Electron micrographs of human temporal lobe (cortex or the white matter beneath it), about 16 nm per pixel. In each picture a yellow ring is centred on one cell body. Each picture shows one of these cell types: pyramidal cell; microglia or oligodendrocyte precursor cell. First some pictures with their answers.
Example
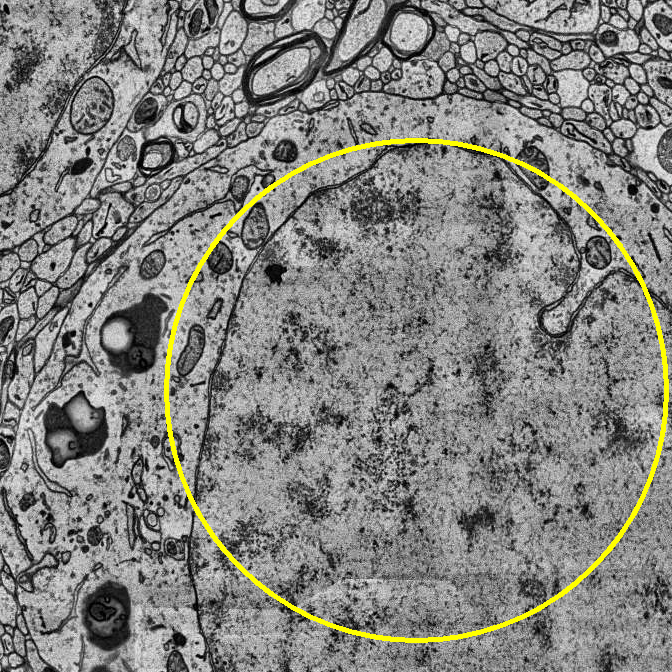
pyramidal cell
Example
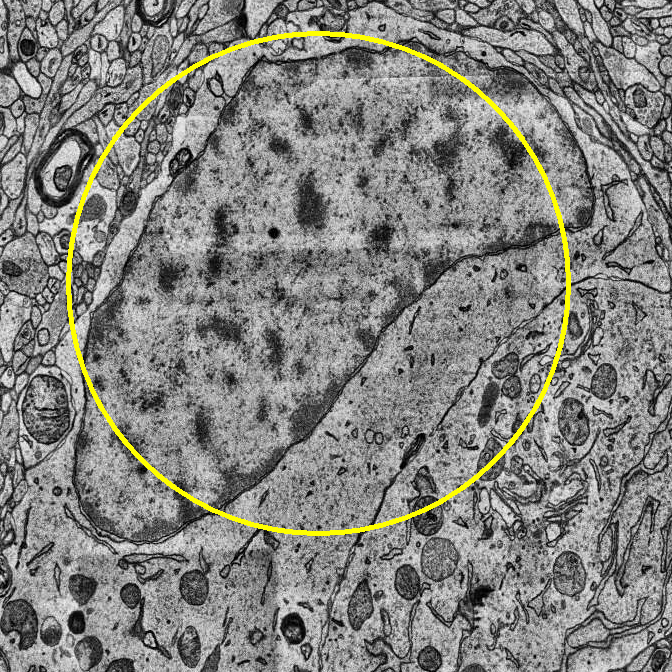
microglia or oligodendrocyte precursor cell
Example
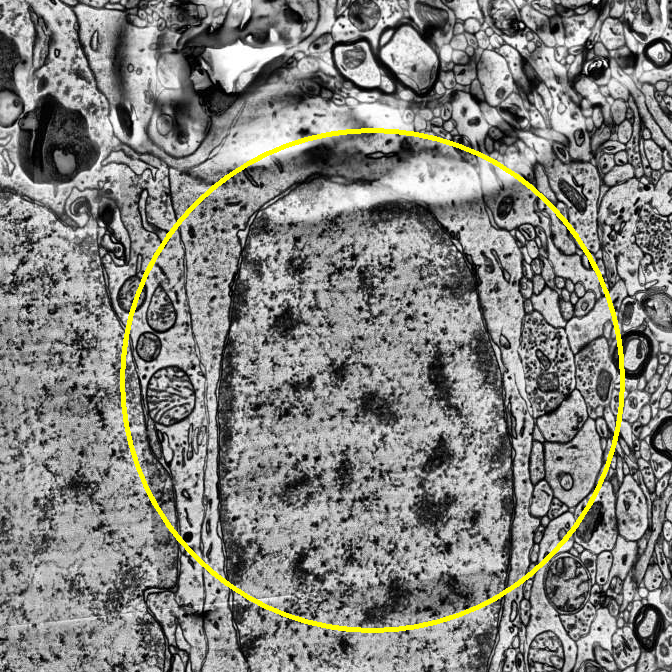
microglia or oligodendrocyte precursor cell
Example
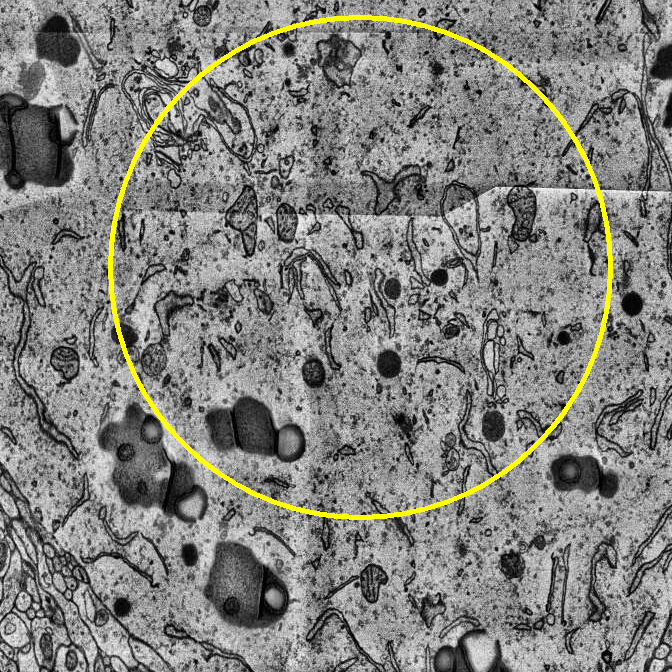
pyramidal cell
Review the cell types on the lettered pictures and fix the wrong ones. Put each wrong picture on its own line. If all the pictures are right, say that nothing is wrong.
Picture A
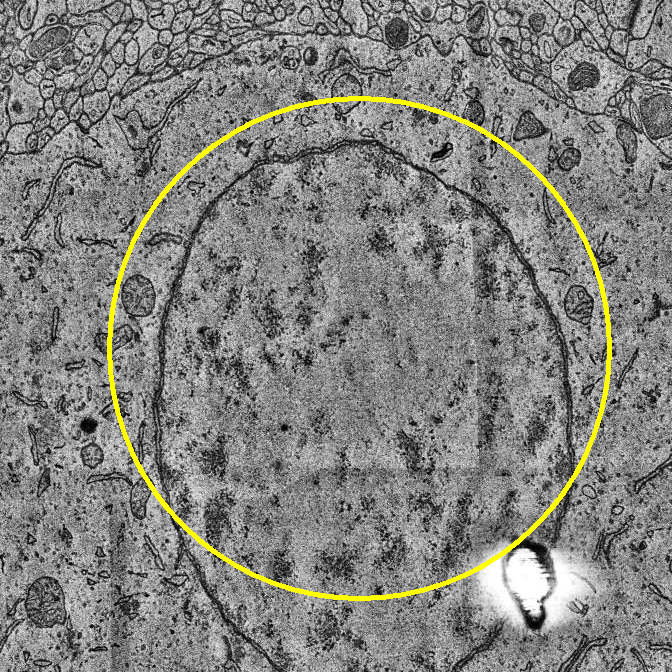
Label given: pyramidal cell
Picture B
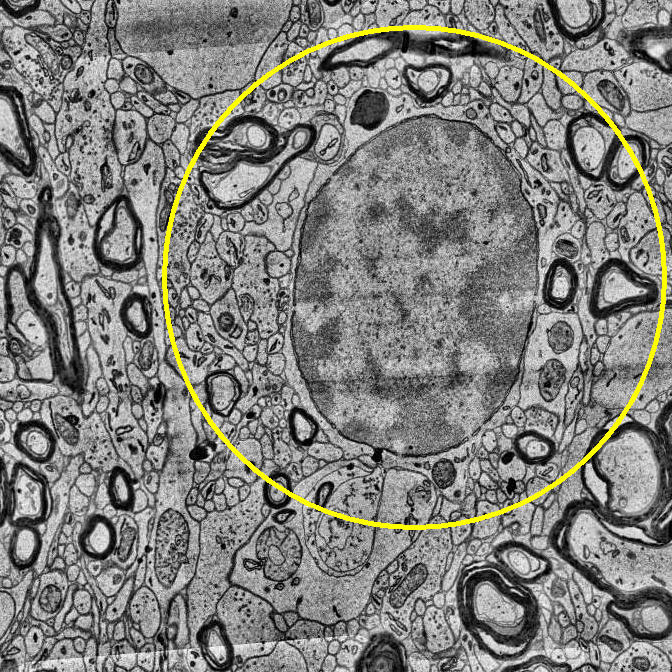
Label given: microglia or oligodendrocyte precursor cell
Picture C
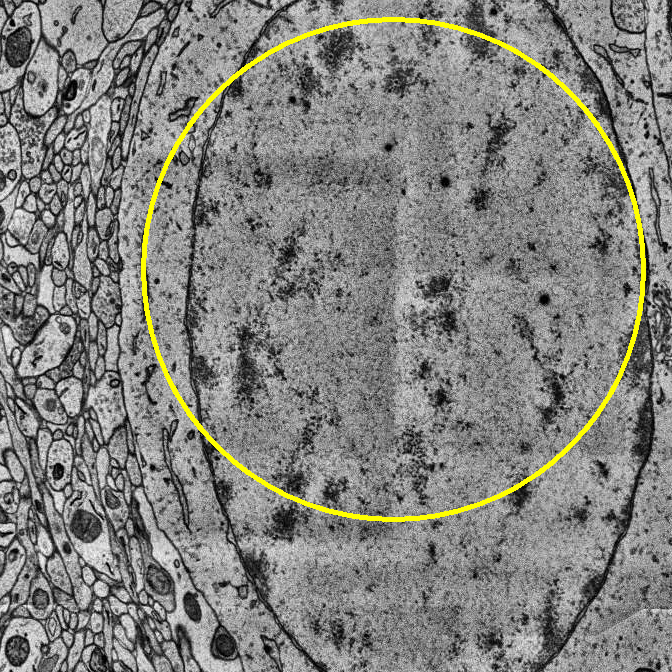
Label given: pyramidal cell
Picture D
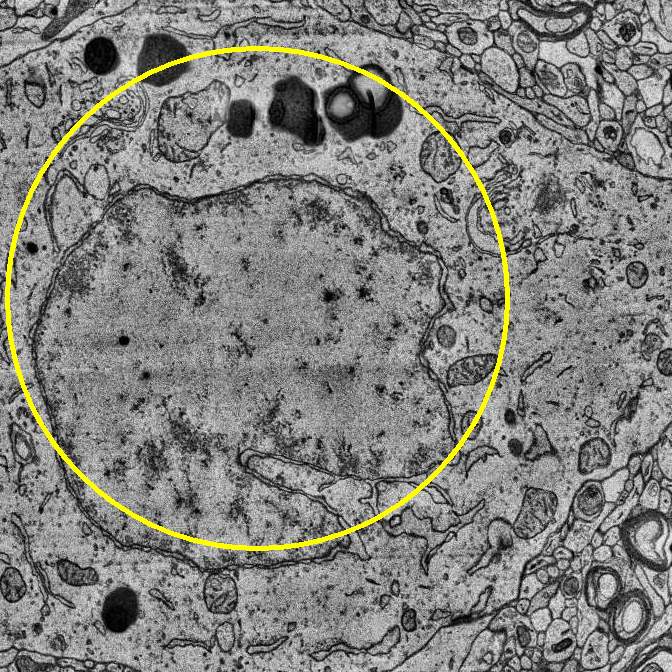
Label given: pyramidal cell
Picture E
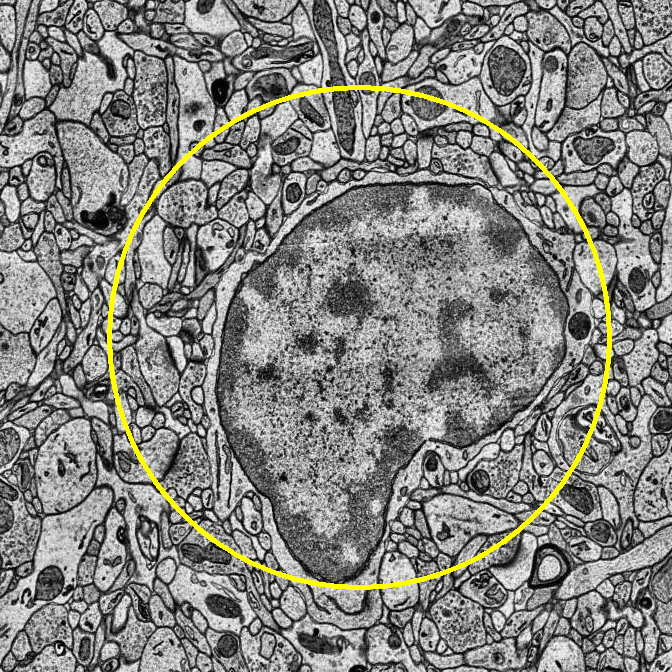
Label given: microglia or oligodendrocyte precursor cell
Nothing to fix; every label fits.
